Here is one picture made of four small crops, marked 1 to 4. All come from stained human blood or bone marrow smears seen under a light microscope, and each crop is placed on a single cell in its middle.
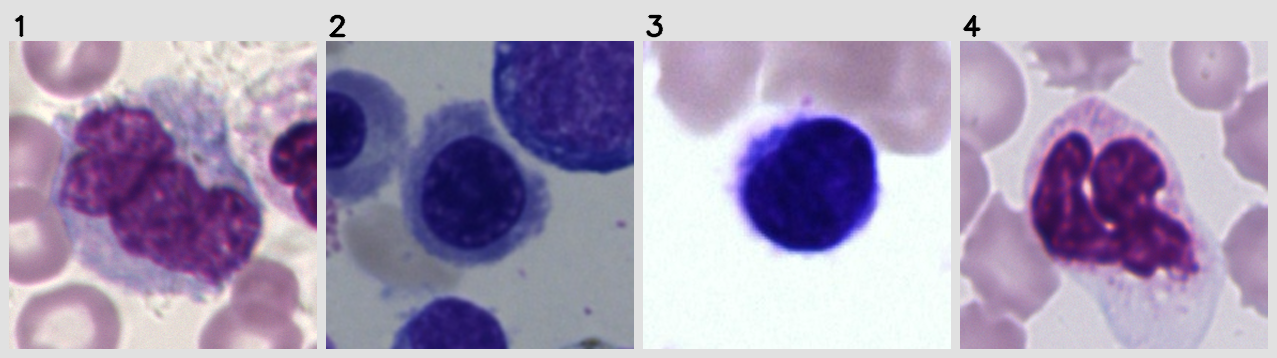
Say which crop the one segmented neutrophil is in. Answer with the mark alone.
4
